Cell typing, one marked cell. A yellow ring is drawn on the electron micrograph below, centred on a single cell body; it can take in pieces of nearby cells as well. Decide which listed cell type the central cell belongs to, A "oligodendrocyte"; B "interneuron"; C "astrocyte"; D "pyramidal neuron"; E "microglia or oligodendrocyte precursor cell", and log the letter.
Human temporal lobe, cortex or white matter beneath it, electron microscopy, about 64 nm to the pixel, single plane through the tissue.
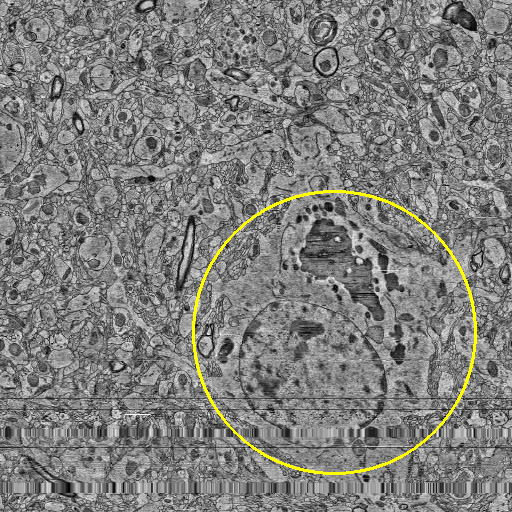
C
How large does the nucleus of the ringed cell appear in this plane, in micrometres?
About 10 micrometres across, as seen in this plane.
